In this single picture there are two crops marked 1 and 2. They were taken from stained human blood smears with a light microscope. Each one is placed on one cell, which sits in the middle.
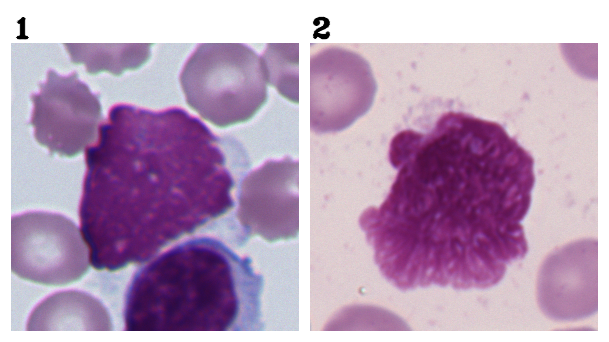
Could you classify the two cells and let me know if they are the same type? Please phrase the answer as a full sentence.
Yes, both crops show smudge cells in the middle.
